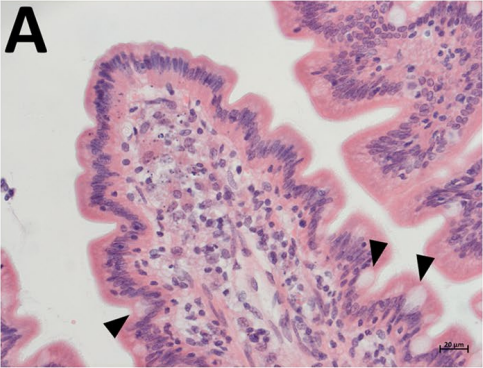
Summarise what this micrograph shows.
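This is a villus of the small intestine lined by a single layer of tall columnar epithelial cells with a pink brush border along the surface. Their elongated purple nuclei sit in a row toward the base, and scattered among them are pale, clear, rounded goblet cells. Beneath the epithelium the core of the villus is loose connective tissue crowded with small round and spindle-shaped nuclei of stromal and immune cells.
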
